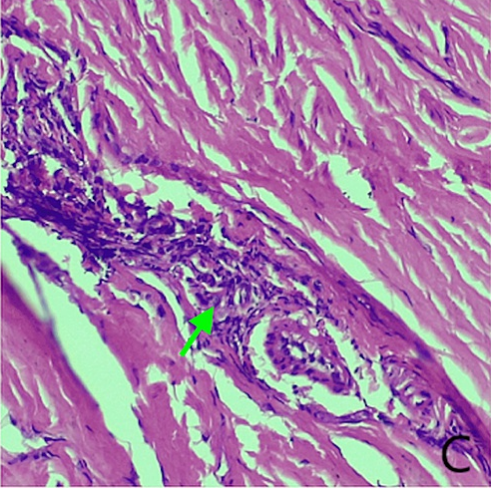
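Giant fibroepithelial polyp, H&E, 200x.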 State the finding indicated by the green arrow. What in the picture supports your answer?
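A cluster of small, dark, round nuclei lies among pink collagen bundles. The cluster sits beside a small vessel. The infiltrate is confined to one focus. On this evidence: perivascular lymphocytic infiltrate.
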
